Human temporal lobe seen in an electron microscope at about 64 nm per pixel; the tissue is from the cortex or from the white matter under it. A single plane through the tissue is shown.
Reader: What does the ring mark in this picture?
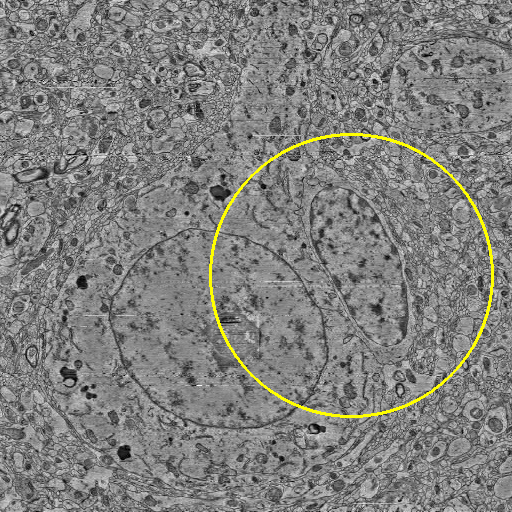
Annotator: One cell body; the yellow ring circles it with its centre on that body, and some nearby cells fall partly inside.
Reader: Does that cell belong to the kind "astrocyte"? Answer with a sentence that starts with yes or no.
No, the cell at the ring's centre in this picture is of another kind.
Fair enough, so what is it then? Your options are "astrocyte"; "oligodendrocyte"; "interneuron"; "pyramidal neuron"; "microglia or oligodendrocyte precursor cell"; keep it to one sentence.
This picture has a microglial cell or oligodendrocyte precursor cell at the centre of its ring.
